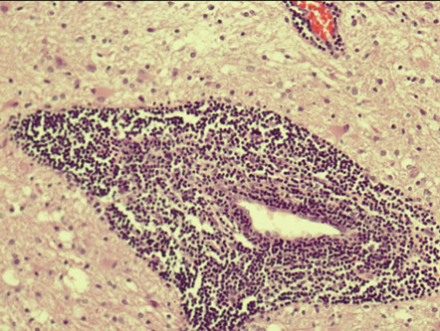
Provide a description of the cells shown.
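This is brain tissue in which a blood vessel is wrapped in a dense cuff of lymphocytes filling the perivascular space. The cuff forms an elongated band of closely packed, small, round, dark purple nuclei with hardly any cytoplasm visible. Around the cuff the parenchyma is pale pink, loose and somewhat vacuolated, with only scattered nuclei. At the upper edge a small vessel filled with red blood cells is seen.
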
